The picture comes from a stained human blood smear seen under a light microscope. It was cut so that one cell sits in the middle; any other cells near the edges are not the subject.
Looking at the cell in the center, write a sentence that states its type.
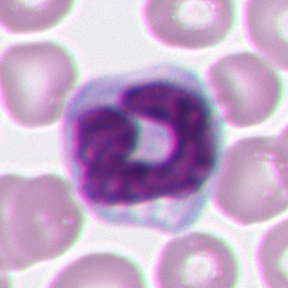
The cell of interest, located centrally, is a monocyte.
